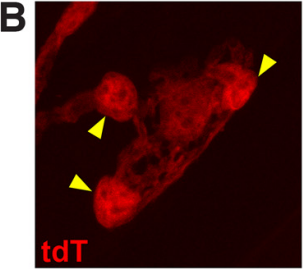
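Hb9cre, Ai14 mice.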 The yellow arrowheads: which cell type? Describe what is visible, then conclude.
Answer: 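Rounded, bulging cell bodies sit on the edge of the terminal branches. The marked bodies are larger and rounder than the thin axon branches.
Conclusion: Schwann cells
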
